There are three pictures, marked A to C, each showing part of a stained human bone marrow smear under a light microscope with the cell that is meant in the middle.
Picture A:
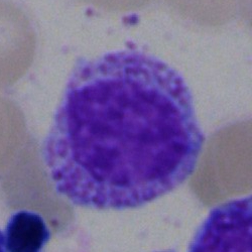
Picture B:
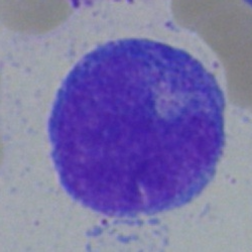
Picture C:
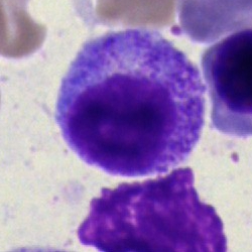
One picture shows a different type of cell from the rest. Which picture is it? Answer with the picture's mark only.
B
